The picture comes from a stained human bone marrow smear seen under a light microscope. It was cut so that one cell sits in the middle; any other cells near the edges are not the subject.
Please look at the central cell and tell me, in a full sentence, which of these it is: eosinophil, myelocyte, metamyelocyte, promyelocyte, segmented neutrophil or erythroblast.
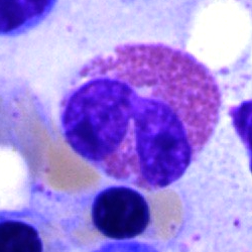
The cell occupying the middle of the crop is an eosinophil.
